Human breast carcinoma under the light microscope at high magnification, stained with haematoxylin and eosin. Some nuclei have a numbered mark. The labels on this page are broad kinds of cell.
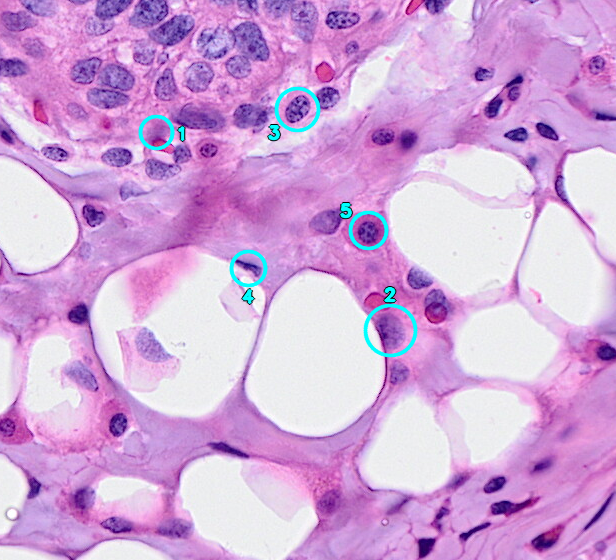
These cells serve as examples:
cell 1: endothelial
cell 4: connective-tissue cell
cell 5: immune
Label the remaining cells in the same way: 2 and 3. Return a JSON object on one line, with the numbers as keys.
{"2": "endothelial", "3": "immune"}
